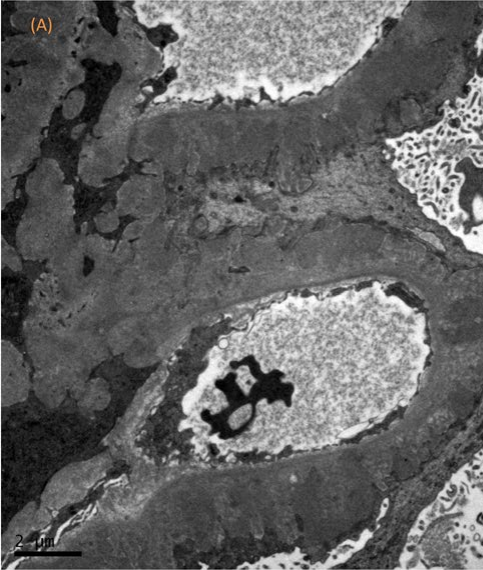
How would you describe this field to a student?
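A glomerular capillary loop with a red cell in its lumen is surrounded by a greatly thickened basement membrane. Electron-dense deposits lie on the outer, epithelial side of the membrane, with the podocyte covering running as a continuous flattened layer rather than separate foot processes.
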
